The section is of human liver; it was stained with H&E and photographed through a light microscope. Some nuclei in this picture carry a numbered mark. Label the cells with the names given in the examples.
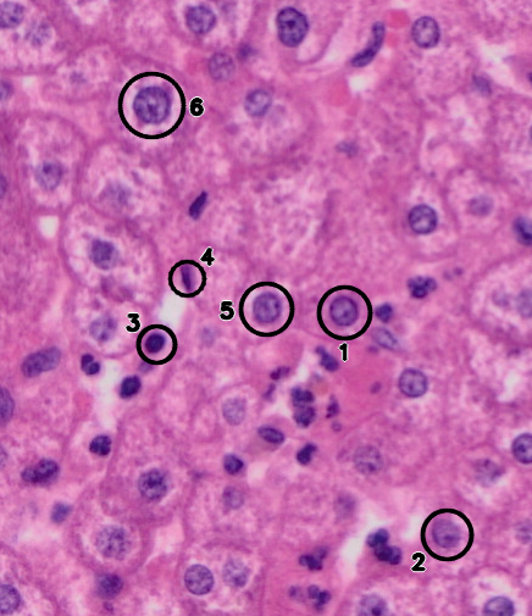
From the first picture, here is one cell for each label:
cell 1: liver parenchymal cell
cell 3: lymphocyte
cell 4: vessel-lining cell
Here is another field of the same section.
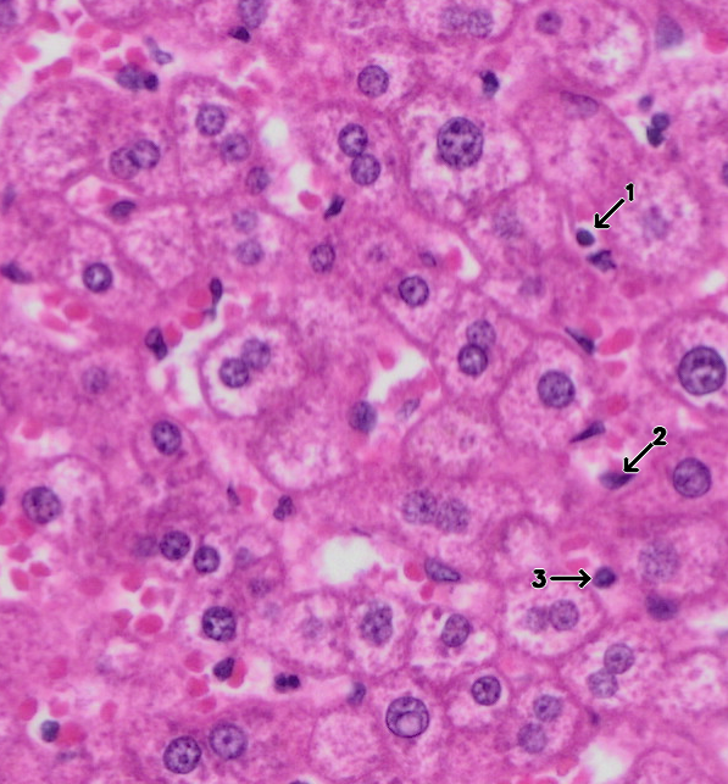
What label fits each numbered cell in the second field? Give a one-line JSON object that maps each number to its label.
{"1": "lymphocyte", "2": "vessel-lining cell", "3": "lymphocyte"}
